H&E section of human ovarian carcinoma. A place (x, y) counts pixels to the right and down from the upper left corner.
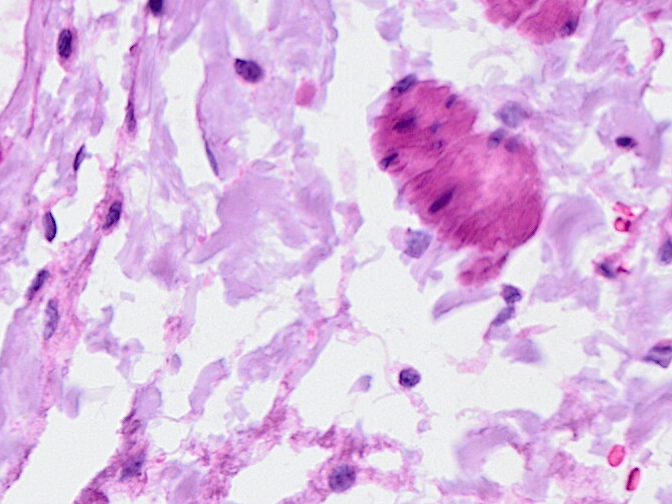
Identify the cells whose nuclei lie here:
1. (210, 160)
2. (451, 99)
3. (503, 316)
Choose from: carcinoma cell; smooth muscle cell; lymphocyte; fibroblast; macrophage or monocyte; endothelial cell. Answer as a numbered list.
1. fibroblast
2. smooth muscle cell
3. fibroblast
